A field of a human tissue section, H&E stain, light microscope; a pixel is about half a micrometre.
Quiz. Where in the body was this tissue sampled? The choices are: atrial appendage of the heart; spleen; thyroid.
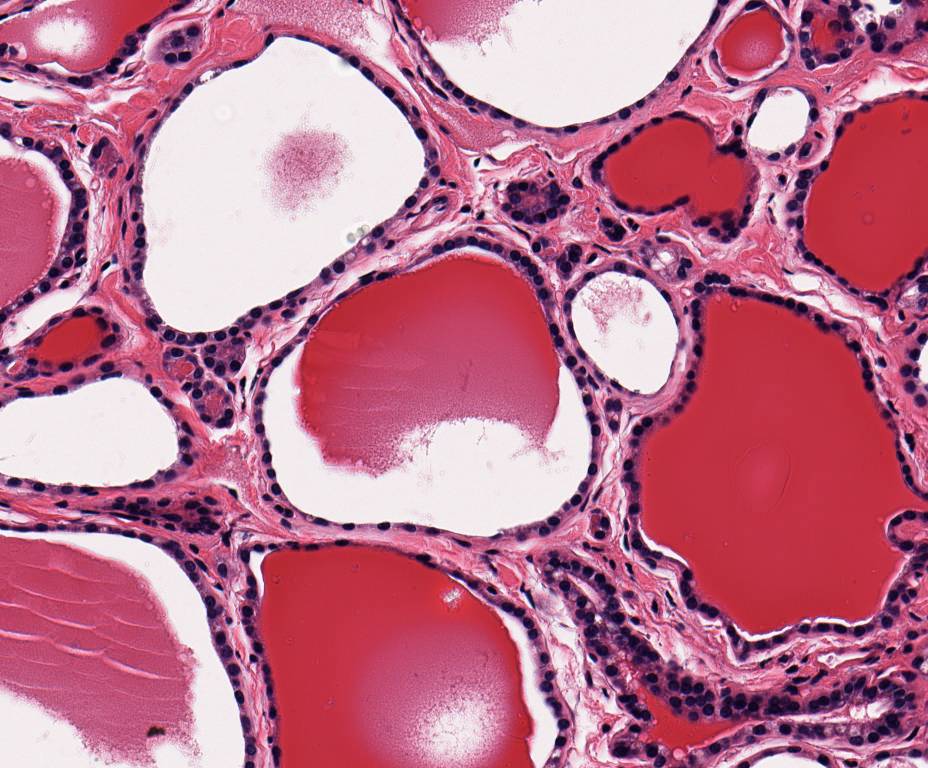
thyroid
